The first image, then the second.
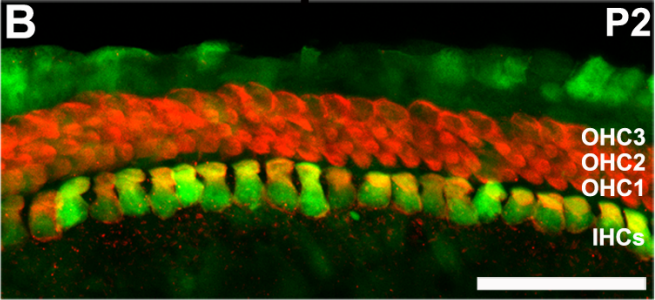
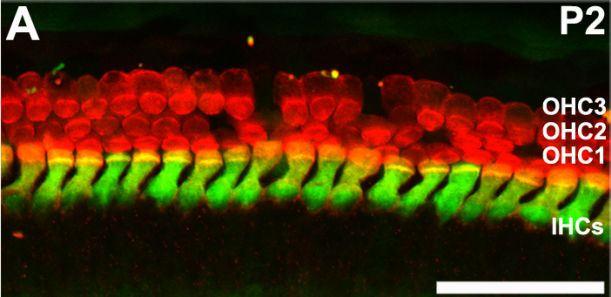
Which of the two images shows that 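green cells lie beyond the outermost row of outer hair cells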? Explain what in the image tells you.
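The first image. First image: a band of green rounded cells lies above the outermost red row. Second image: the region above the outermost red row is dark.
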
